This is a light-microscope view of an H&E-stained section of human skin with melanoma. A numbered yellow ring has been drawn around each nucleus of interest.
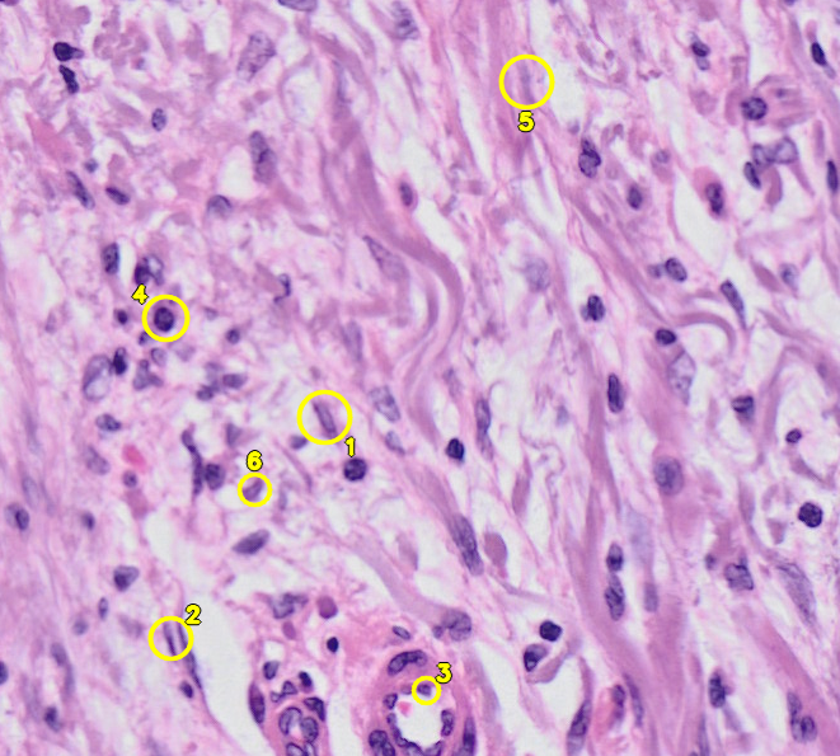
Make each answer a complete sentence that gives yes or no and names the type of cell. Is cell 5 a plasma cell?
No, cell 5 is not a plasma cell; it is a fibroblast or myofibroblast.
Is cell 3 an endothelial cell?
Yes, the cell with its nucleus marked 3 is an endothelial cell.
